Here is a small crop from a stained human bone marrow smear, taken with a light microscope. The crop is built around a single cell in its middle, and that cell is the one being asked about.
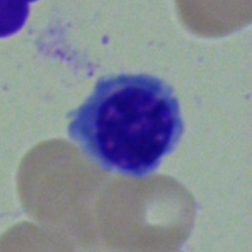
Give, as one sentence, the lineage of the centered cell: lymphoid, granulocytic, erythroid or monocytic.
The cell that sits at the center is attributed to the erythroid lineage.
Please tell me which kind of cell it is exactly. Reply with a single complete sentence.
The cell in the exact centre of the crop is an erythroblast.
